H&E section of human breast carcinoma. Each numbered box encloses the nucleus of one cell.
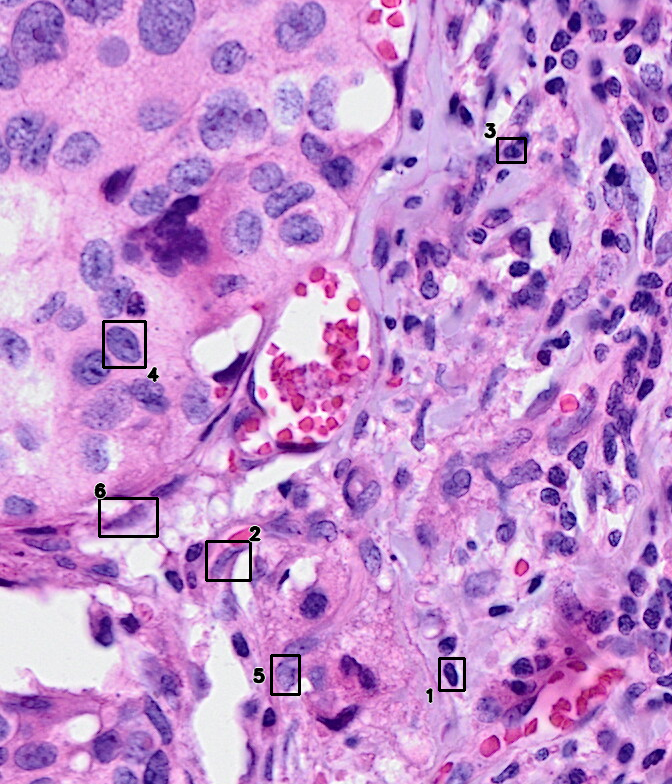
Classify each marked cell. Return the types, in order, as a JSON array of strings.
["lymphocyte", "endothelial cell", "lymphocyte", "carcinoma cell", "endothelial cell", "fibroblast"]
